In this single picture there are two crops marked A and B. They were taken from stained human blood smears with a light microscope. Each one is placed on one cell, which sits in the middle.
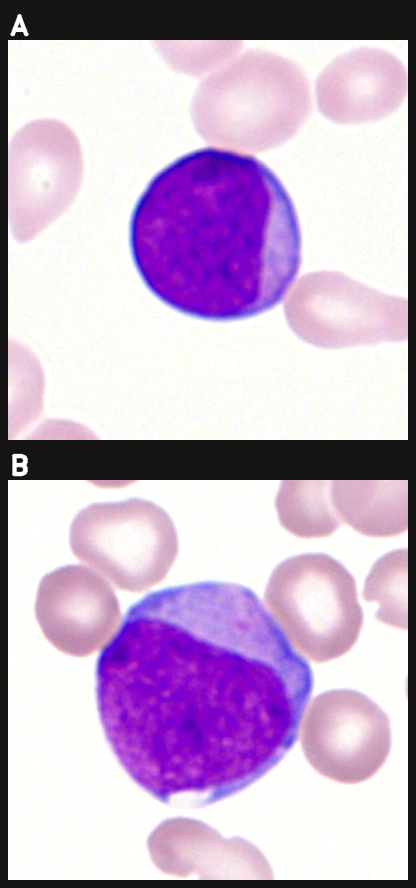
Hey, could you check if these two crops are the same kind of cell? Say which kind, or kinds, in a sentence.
Yes, both crops have myeloblasts at the centre.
